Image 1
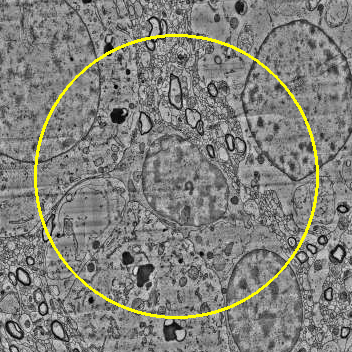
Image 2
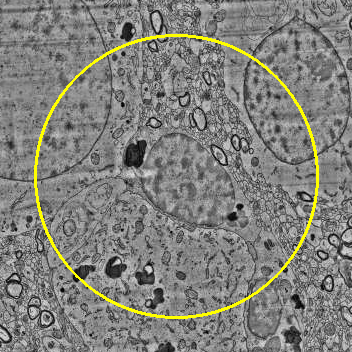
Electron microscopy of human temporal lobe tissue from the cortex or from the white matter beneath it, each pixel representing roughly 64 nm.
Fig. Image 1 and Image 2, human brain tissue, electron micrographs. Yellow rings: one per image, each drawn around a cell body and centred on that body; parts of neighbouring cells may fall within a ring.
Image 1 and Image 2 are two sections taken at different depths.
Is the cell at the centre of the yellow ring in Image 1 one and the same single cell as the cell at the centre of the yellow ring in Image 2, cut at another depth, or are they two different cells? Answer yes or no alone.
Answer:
yes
